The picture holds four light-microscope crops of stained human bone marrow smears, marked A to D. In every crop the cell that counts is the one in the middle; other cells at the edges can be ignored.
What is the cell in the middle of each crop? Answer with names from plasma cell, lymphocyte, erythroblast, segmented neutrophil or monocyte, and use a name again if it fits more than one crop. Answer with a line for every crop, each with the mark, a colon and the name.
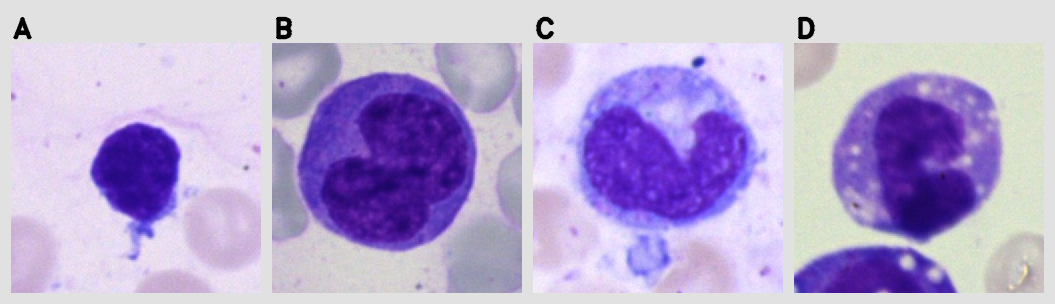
A: lymphocyte
B: monocyte
C: monocyte
D: monocyte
